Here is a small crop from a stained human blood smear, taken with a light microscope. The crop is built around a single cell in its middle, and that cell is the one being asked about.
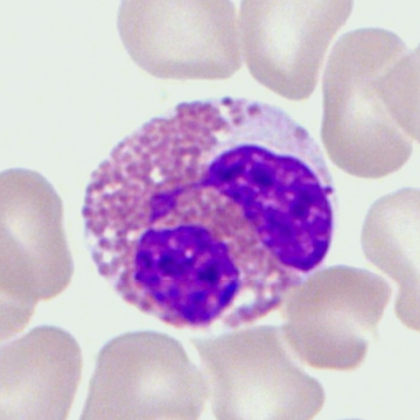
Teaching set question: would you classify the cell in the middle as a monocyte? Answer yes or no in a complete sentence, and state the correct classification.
No, the cell in the middle should be called an eosinophil instead of a monocyte.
